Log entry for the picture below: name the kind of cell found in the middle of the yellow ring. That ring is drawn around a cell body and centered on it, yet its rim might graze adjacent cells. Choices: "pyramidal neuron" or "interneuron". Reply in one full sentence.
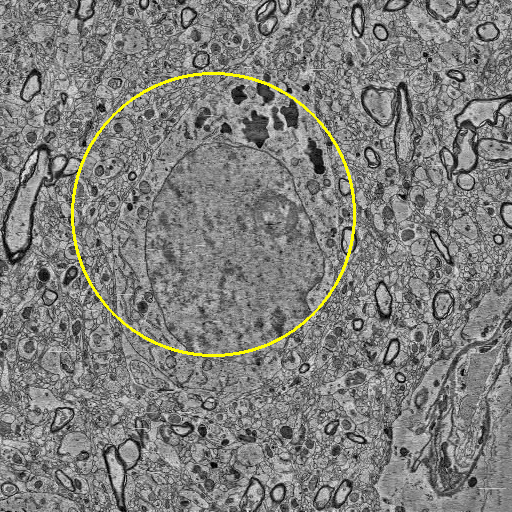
The cell in the middle of the yellow ring in this picture is an interneuron.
